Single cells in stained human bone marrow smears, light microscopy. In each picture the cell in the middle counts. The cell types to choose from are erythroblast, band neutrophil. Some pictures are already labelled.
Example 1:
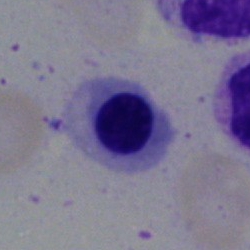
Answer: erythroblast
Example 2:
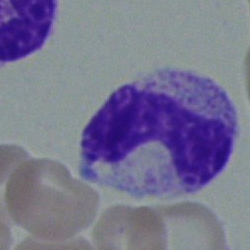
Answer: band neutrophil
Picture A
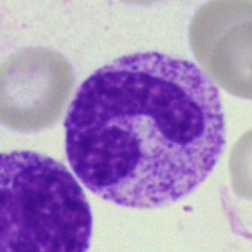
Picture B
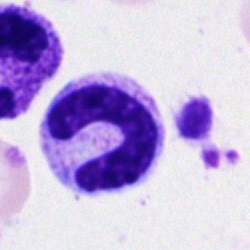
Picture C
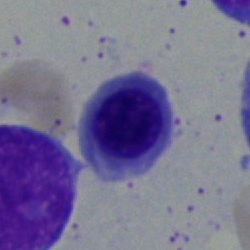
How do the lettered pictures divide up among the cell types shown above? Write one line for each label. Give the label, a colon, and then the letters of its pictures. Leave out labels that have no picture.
erythroblast: C
band neutrophil: A, B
